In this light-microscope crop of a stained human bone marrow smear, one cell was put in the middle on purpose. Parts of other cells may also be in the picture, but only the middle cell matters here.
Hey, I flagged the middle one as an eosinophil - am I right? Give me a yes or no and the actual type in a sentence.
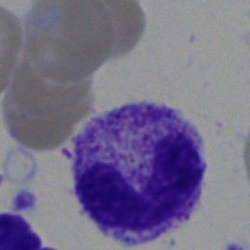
No, this is not an eosinophil at all; the cell in the middle is a band neutrophil.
